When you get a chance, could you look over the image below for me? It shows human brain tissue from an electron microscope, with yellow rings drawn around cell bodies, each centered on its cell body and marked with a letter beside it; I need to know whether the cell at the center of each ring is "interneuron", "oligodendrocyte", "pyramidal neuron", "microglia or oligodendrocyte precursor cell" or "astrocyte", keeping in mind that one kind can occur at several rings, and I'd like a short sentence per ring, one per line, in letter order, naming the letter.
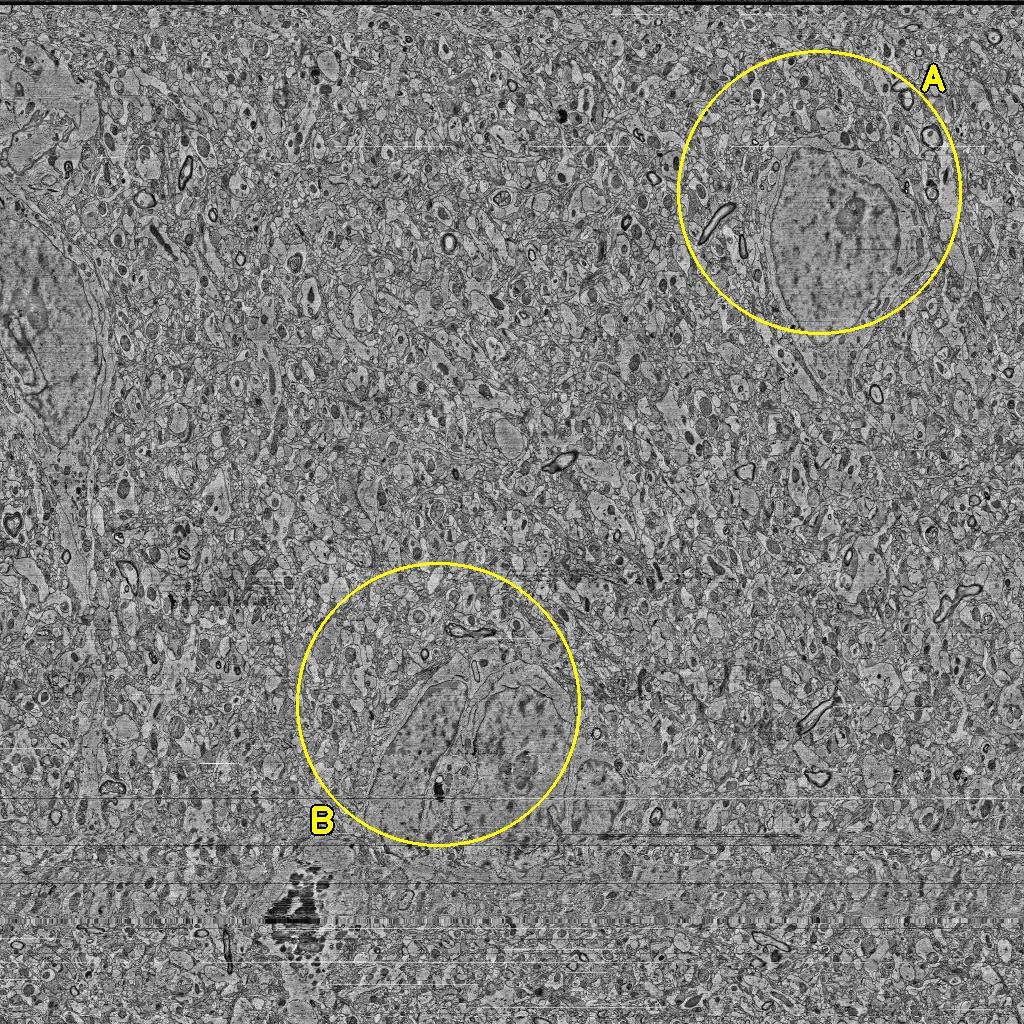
Ring A is centered on an interneuron.
Ring B is centered on a microglial cell or oligodendrocyte precursor cell.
